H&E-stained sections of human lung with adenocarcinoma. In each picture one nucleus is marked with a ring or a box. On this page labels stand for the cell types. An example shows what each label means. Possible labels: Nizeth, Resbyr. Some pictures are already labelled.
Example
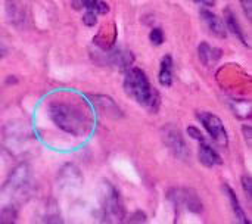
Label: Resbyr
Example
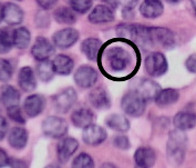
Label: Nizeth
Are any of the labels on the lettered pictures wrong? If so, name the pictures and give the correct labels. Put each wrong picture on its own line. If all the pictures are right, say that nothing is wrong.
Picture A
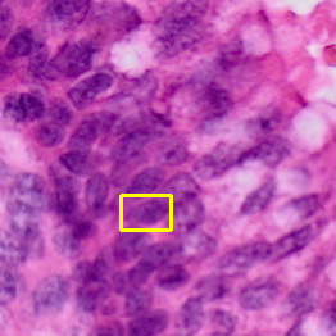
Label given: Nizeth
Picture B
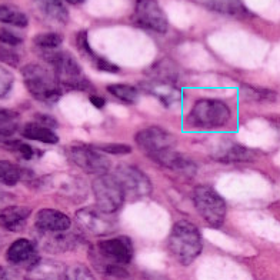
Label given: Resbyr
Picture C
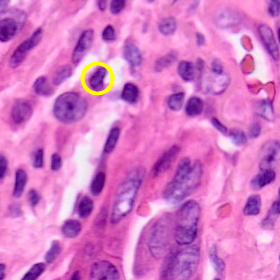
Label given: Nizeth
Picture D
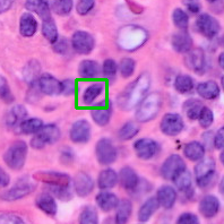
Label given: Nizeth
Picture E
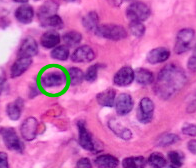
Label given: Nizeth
A: Resbyr, not Nizeth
